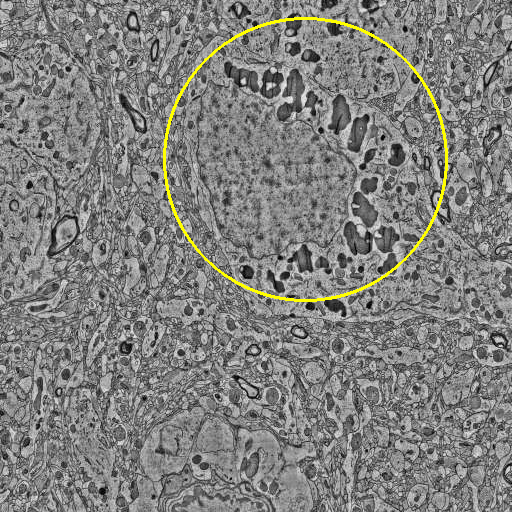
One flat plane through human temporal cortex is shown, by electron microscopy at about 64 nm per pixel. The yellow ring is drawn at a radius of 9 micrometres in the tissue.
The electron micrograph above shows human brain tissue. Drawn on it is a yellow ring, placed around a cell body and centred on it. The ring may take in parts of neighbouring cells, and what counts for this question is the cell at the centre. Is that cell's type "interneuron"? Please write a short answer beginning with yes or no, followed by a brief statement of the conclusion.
Yes, its type is the one named.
